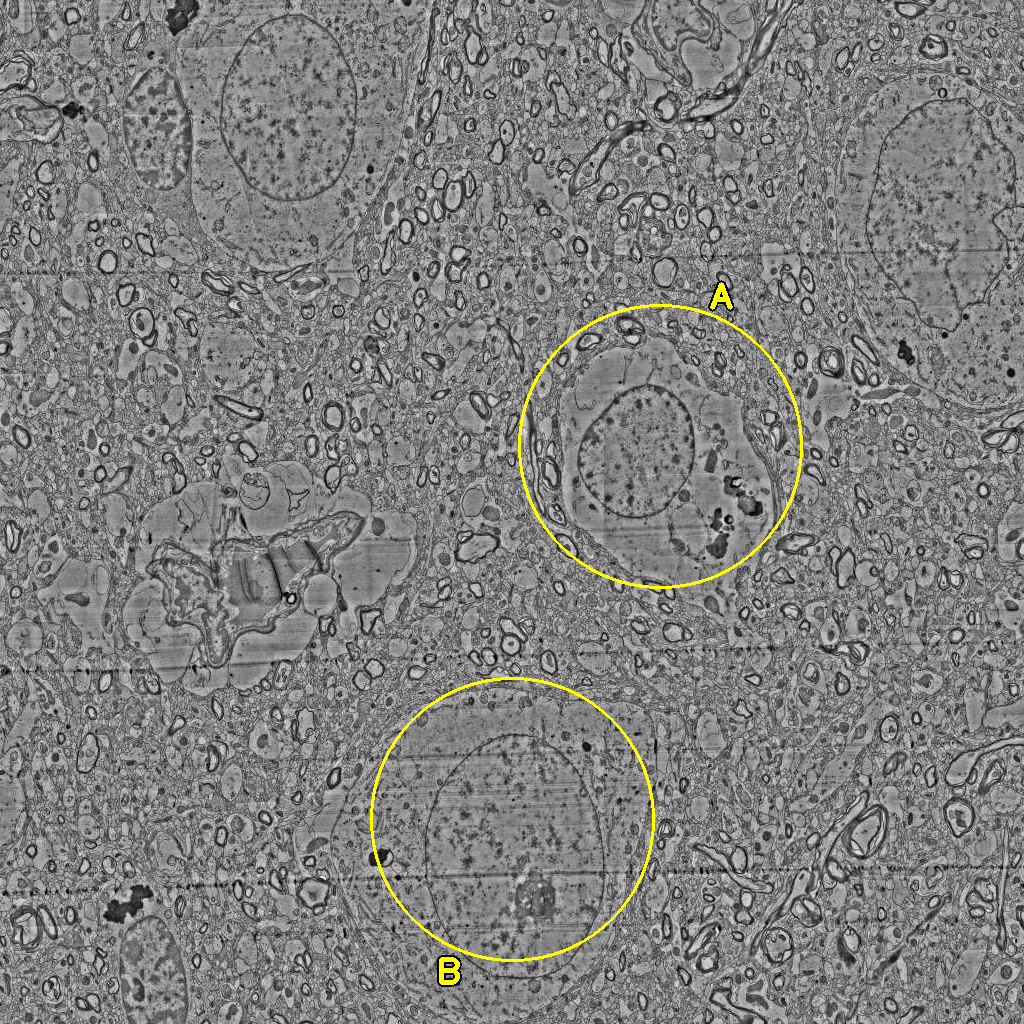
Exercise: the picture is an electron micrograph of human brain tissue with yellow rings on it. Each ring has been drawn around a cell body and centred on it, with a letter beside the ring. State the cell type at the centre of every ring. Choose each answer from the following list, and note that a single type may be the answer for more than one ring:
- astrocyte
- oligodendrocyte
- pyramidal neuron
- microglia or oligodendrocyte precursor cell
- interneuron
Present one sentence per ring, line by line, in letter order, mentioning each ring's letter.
Ring A shows an astrocyte at its centre.
Ring B shows a pyramidal neuron at its centre.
